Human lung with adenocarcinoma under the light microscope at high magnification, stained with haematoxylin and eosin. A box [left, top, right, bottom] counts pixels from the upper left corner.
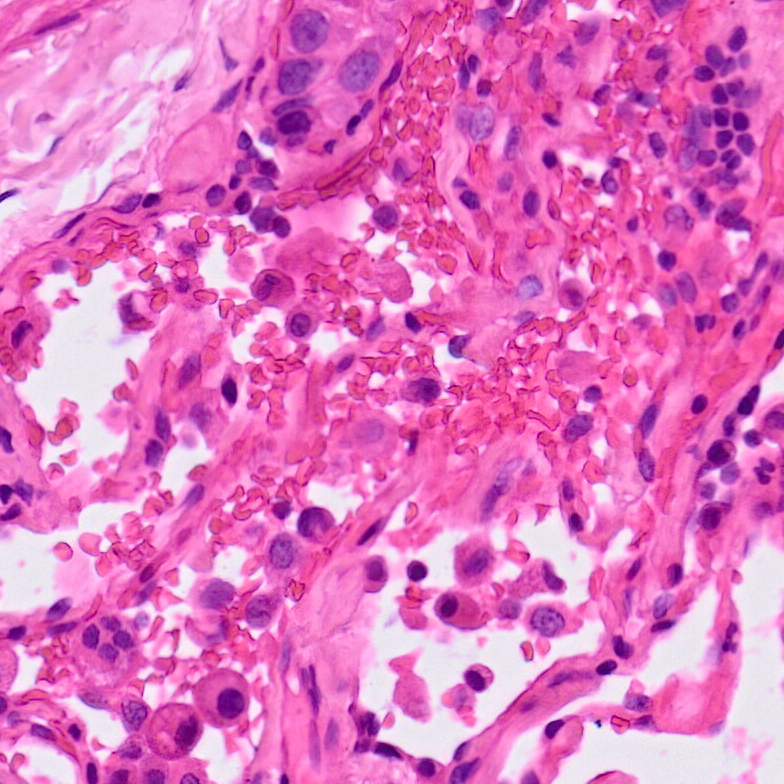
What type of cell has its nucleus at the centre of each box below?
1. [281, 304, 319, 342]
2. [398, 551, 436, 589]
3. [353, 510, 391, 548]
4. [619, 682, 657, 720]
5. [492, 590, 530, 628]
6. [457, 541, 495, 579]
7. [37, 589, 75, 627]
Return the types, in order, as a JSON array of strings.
["macrophage or monocyte", "lymphocyte", "endothelial cell", "type I pneumocyte", "macrophage or monocyte", "macrophage or monocyte", "type I pneumocyte"]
